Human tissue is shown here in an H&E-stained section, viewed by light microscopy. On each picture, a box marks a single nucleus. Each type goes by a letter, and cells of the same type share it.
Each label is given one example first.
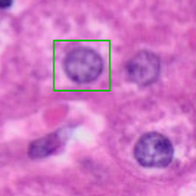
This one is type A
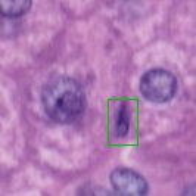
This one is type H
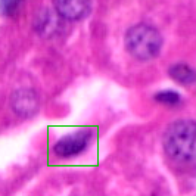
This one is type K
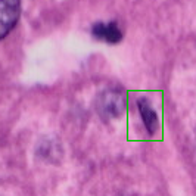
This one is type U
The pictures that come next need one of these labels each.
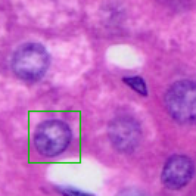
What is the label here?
type A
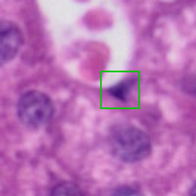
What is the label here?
type H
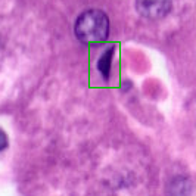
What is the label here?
type H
